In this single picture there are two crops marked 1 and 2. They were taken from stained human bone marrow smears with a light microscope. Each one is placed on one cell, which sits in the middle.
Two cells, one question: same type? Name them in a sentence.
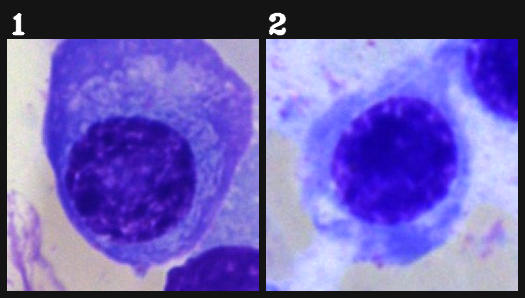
No, shown in crop 1 is a plasma cell, and shown in crop 2 is an erythroblast.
